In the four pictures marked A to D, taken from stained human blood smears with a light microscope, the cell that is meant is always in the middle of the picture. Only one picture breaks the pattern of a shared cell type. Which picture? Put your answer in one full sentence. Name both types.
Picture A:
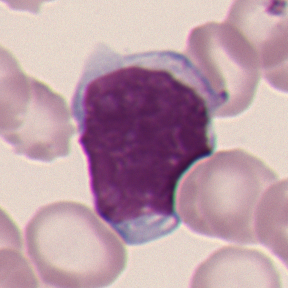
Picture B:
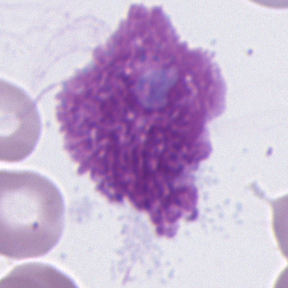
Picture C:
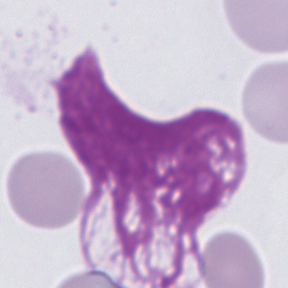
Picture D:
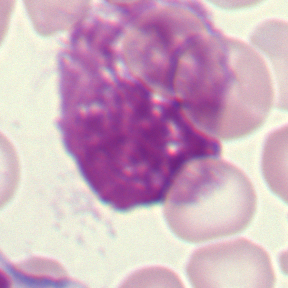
All pictures except A show smudge cells; picture A shows a typical lymphocyte.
